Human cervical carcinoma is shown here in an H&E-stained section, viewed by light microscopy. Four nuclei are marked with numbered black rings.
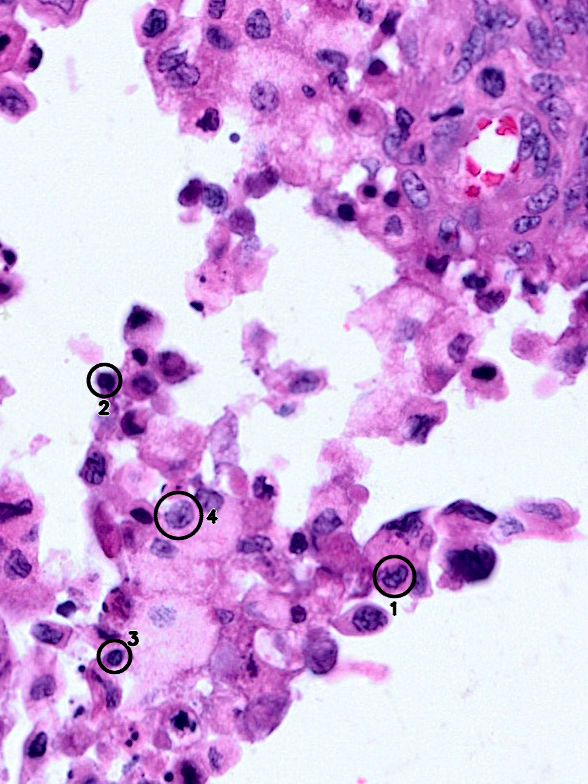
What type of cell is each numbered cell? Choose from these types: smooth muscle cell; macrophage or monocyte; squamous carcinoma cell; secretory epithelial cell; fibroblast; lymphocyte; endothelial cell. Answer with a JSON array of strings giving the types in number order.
["squamous carcinoma cell", "lymphocyte", "lymphocyte", "macrophage or monocyte"]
